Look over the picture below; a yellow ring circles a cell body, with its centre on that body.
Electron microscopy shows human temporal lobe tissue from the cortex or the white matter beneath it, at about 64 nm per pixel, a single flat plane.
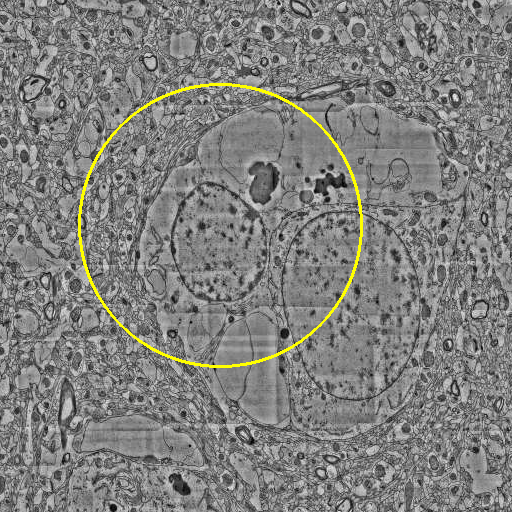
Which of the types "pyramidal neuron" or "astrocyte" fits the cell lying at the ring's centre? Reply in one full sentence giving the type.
The picture shows an astrocyte at the centre of the yellow ring.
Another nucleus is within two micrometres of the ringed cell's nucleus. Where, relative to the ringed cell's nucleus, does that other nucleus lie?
That other nucleus appears to the lower right of it.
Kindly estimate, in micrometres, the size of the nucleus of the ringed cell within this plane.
About 8 micrometres by about 6 micrometres in this plane.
